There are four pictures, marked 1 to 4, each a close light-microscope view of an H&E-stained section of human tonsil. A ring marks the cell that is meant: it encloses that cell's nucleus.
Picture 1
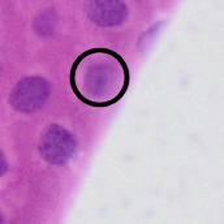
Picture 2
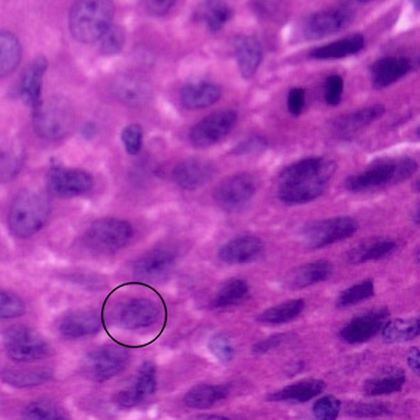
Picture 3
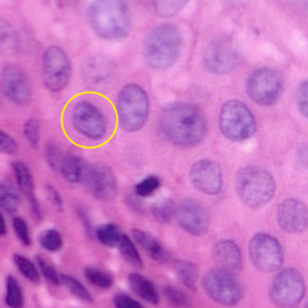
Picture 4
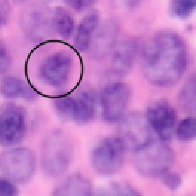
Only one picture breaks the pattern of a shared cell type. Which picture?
4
